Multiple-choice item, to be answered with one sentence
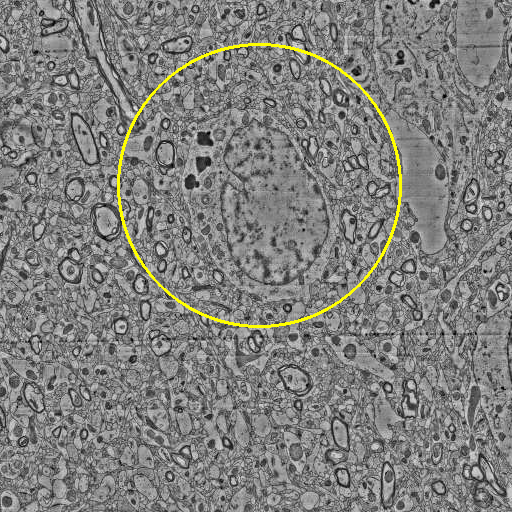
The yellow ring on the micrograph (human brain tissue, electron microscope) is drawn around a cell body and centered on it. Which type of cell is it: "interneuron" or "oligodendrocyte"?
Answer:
The ring is centered on an interneuron.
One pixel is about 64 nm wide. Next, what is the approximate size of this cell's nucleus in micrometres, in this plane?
In this plane the nucleus measures about 11 by 7 micrometres and is clearly longer than it is wide.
